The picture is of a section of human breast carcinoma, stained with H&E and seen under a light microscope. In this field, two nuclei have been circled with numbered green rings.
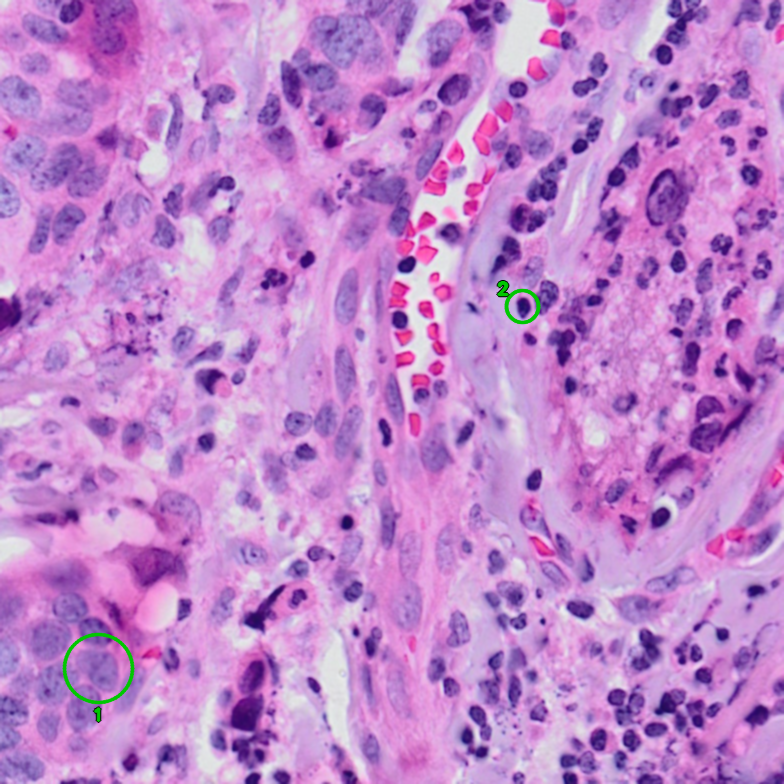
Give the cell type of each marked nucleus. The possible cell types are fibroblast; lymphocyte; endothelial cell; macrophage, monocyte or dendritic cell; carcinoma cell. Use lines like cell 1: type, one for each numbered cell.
cell 1: carcinoma cell
cell 2: lymphocyte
